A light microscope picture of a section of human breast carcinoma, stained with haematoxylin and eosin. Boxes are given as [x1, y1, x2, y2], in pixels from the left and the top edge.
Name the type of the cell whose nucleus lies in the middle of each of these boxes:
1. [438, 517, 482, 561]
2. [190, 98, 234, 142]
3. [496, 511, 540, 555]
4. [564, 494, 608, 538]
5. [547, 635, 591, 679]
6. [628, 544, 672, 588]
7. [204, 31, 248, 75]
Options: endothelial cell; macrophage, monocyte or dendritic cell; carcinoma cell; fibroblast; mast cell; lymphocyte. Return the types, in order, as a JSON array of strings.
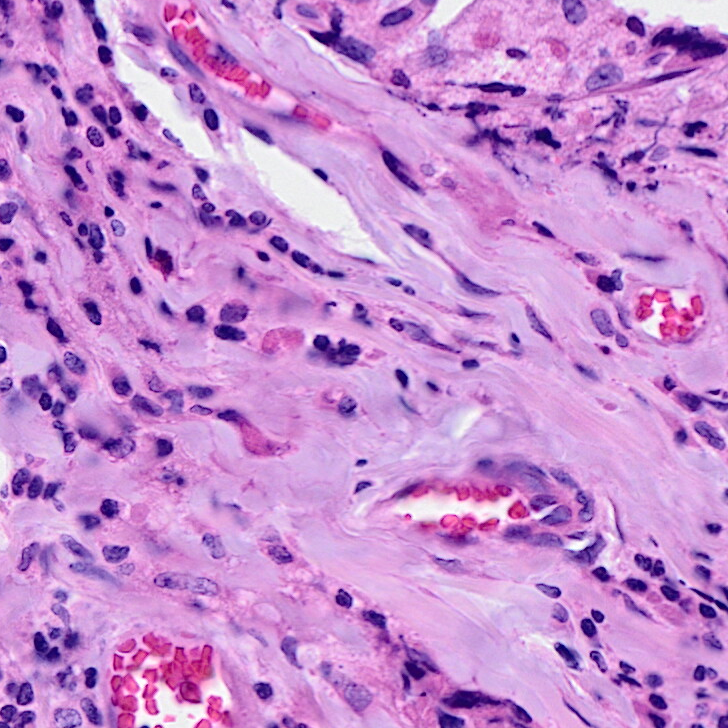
["endothelial cell", "lymphocyte", "endothelial cell", "endothelial cell", "lymphocyte", "lymphocyte", "endothelial cell"]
